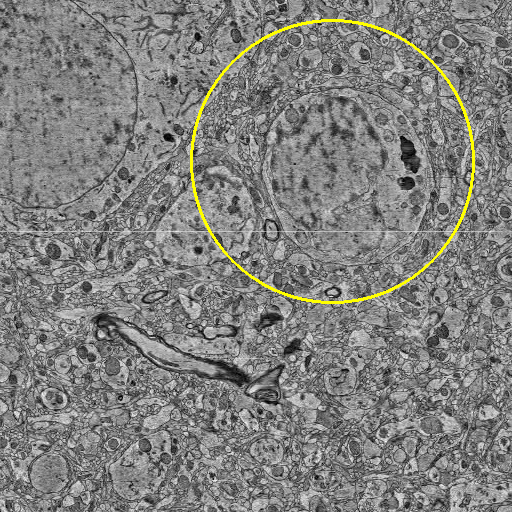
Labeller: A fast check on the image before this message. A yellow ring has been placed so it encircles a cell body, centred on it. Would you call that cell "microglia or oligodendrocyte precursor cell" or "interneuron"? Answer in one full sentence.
In this image, an interneuron is the cell on which the yellow ring is centred.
